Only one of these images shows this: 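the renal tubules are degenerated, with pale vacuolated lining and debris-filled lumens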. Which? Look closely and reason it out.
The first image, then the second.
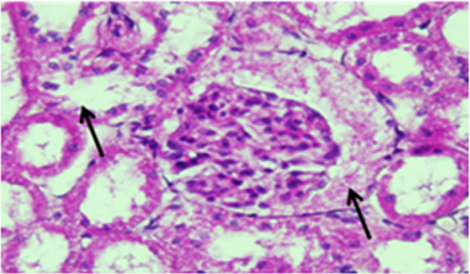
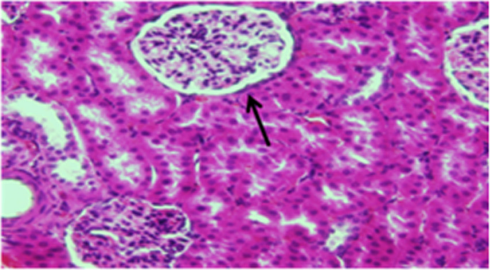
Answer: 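Second image: tubules have compact pink-staining epithelium with narrow clear lumens.
The first image.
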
